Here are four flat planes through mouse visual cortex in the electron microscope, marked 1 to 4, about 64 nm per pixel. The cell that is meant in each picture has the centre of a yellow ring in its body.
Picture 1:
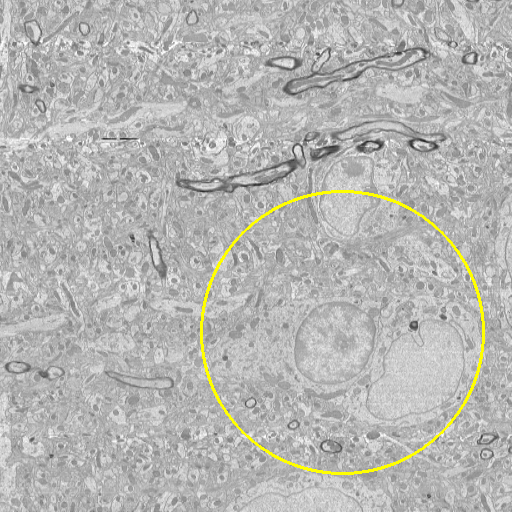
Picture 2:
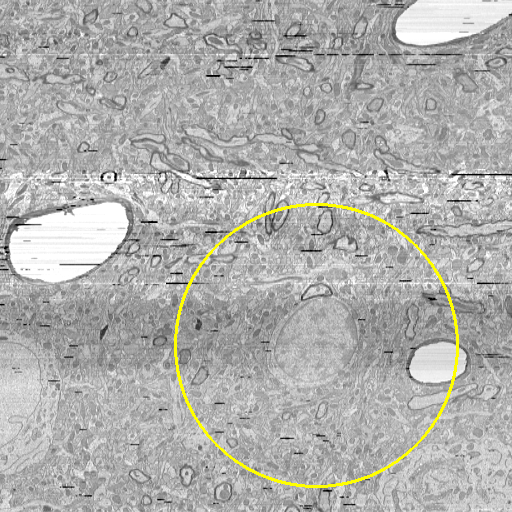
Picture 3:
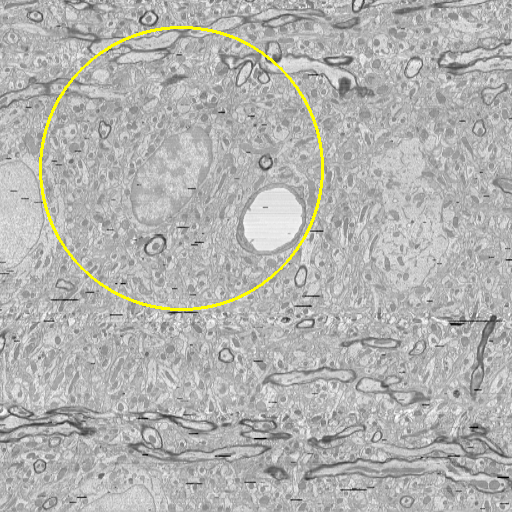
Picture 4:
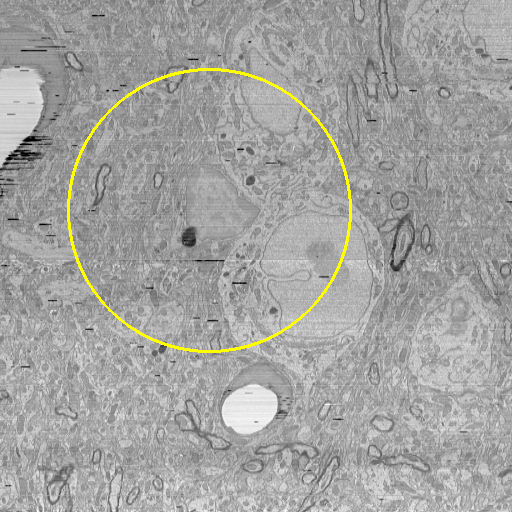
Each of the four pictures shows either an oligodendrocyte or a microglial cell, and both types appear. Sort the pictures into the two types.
Pictures 1, 2 and 3 show oligodendrocytes, and picture 4 shows a microglial cell.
